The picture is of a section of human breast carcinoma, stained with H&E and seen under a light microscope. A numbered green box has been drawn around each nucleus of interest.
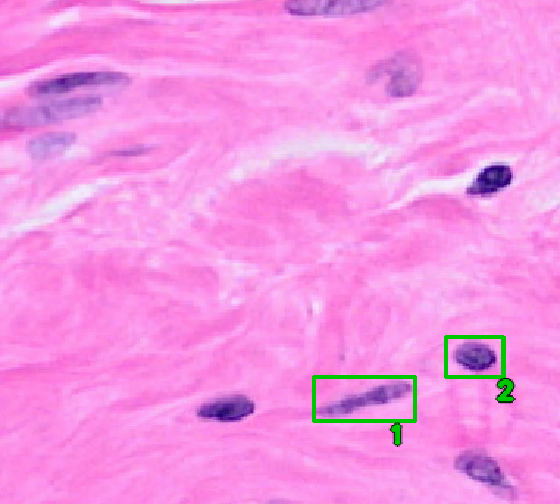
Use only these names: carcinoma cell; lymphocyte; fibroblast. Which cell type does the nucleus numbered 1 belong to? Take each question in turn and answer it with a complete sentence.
The one labeled 1 is a fibroblast, to put it simply.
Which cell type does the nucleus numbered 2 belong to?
The cell tagged with 2 in this tissue section is a lymphocyte.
